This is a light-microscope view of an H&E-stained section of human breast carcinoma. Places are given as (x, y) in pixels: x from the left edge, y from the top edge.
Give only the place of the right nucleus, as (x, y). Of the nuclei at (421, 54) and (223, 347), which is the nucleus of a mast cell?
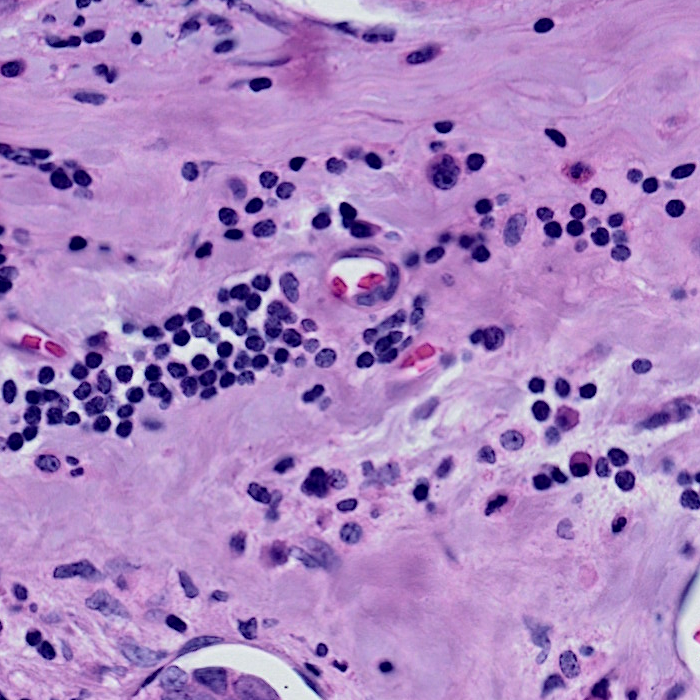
(421, 54)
